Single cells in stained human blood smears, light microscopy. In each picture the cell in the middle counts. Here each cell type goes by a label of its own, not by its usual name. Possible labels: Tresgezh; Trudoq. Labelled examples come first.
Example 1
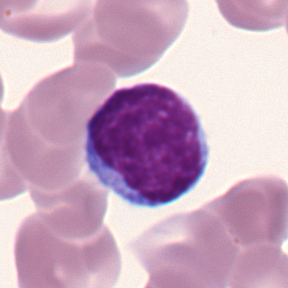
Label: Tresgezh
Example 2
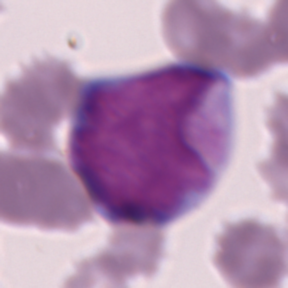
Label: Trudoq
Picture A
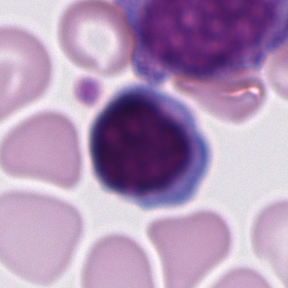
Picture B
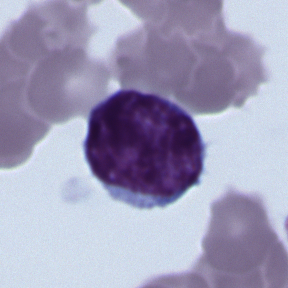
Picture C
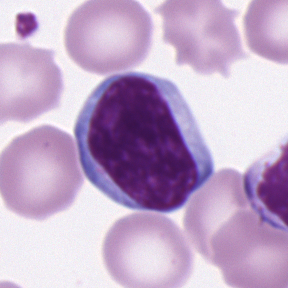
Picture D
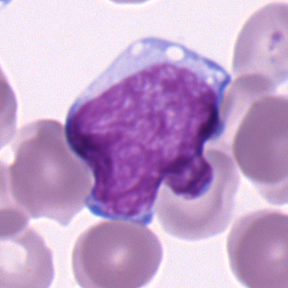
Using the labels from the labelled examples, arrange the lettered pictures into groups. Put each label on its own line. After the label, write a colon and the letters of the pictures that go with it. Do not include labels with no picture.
Tresgezh: A, B, C
Trudoq: D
